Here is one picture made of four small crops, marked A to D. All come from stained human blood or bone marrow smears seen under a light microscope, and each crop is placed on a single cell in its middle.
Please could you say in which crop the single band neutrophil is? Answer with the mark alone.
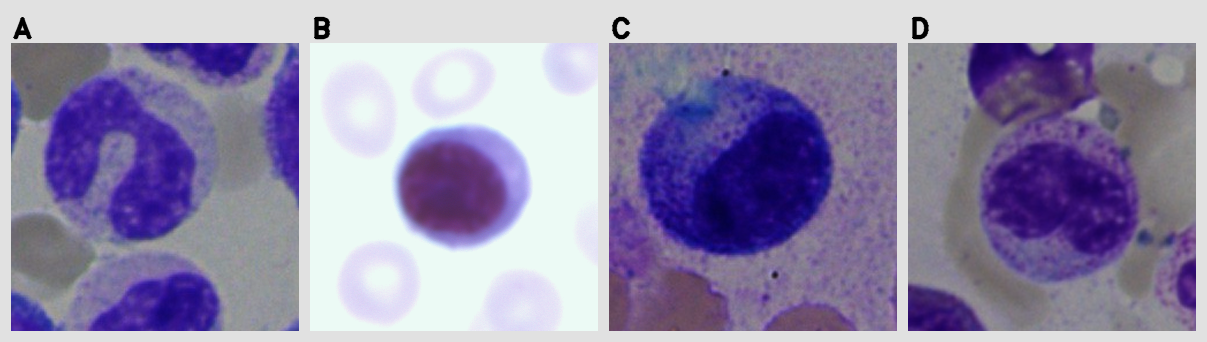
A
